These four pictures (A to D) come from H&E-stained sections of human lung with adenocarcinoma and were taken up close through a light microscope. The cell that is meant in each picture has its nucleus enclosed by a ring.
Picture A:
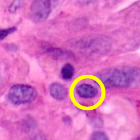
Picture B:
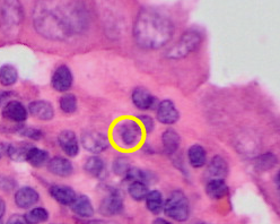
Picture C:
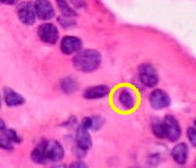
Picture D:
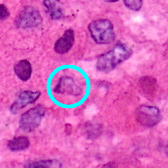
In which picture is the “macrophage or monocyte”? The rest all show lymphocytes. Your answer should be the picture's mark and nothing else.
D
